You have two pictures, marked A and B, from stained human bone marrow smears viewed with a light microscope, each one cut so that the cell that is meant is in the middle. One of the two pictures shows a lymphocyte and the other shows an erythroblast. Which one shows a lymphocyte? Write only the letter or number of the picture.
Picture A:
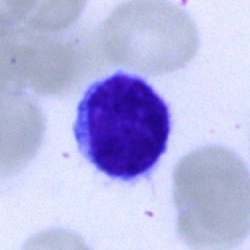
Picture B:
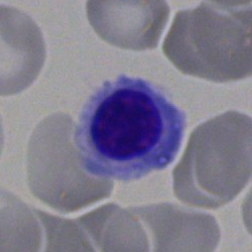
A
